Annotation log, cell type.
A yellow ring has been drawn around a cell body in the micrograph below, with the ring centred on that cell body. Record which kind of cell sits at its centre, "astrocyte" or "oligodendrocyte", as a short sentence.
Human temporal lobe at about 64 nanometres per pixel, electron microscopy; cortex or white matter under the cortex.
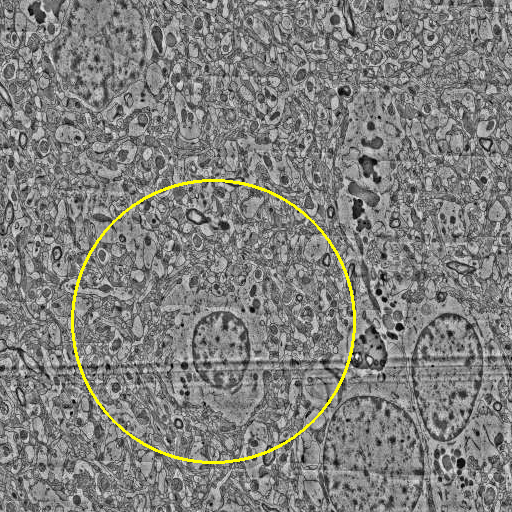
The cell at the centre of this ring is an astrocyte.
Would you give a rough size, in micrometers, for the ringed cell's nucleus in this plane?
About 5 by 4 micrometers, in this plane.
